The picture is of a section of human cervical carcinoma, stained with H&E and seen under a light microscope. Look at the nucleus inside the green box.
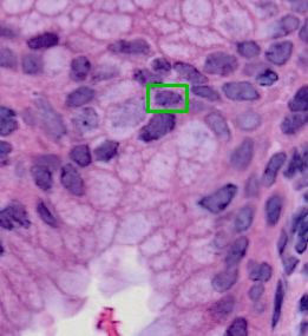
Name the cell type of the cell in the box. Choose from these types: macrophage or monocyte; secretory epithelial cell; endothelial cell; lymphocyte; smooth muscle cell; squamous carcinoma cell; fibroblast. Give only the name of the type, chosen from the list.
secretory epithelial cell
